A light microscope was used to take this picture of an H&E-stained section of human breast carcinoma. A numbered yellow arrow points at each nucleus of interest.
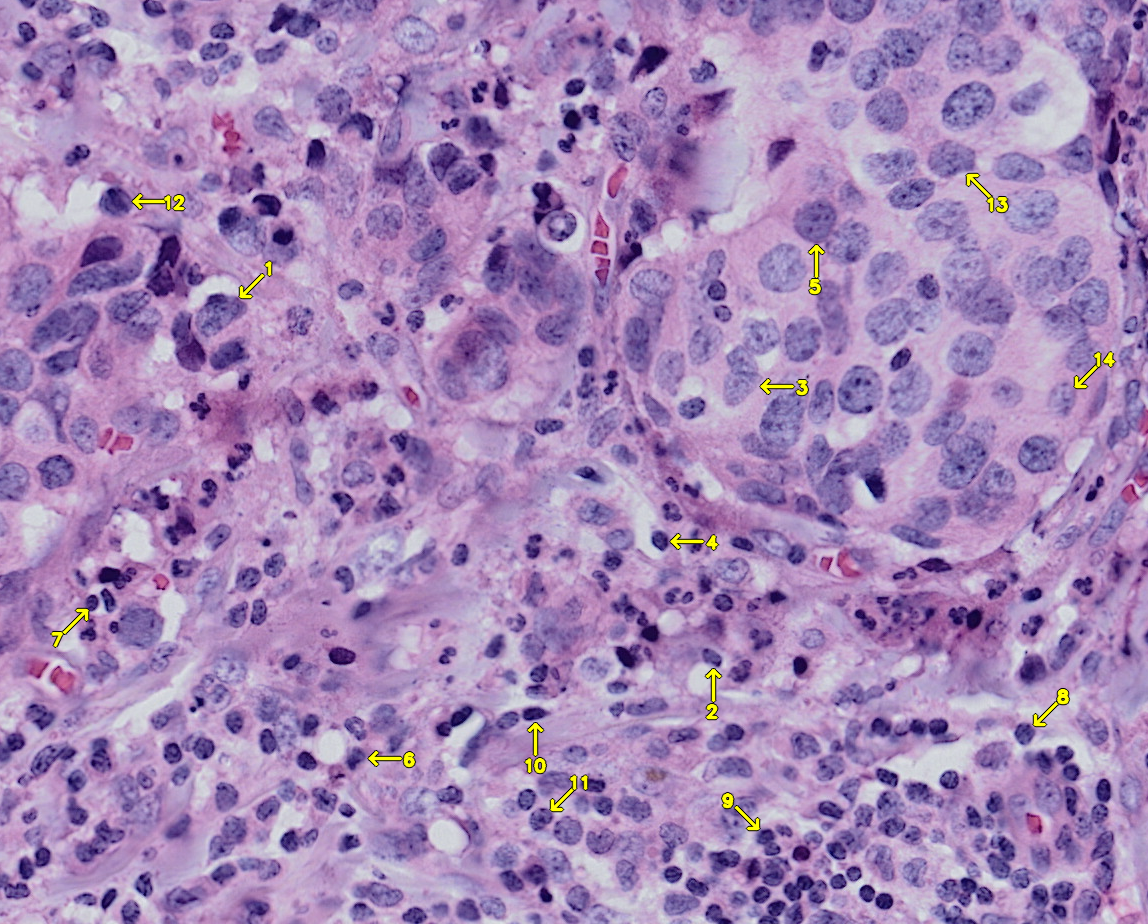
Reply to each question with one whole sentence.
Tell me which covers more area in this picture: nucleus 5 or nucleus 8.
Number 5 is larger; its area is about 4 times that of number 8.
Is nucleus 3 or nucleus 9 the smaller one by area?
It is nucleus 9; nucleus 3 has about 3 times its area.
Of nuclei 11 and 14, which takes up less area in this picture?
Nucleus 11 covers less area, with nucleus 14 about 1.5 times as large.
